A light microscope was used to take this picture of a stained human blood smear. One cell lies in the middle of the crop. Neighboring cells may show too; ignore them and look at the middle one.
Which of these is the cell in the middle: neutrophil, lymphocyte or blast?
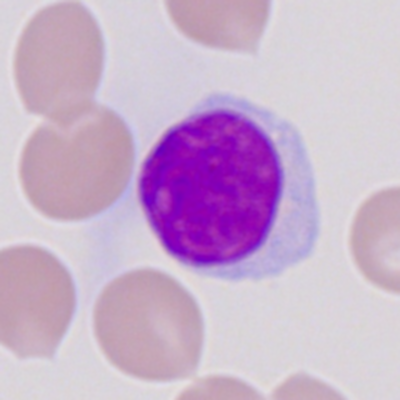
lymphocyte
